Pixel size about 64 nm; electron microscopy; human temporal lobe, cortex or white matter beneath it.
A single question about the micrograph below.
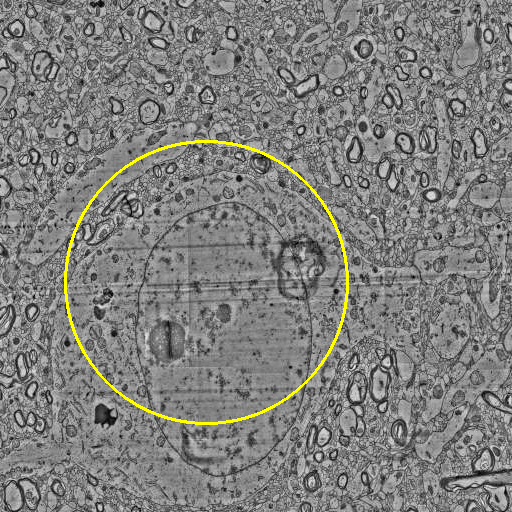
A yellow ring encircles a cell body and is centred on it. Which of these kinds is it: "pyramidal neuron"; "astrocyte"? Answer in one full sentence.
The cell body at the centre of the yellow ring belongs to a pyramidal neuron.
